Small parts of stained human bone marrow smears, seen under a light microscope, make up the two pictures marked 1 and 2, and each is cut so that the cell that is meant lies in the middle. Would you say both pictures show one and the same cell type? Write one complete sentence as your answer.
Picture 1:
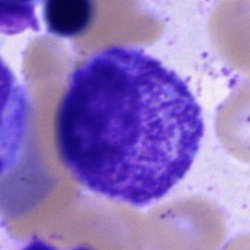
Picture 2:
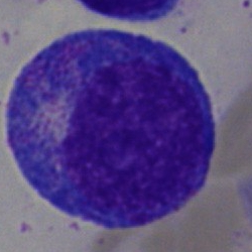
Yes, both are promyelocytes.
